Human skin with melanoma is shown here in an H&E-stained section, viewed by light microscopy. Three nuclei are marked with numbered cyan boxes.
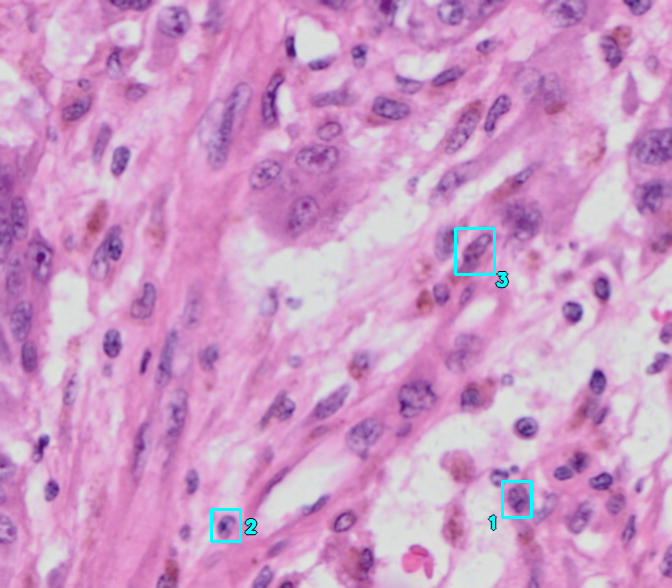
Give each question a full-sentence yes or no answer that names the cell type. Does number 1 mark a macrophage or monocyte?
Yes, that is so; number 1 marks a macrophage or monocyte.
